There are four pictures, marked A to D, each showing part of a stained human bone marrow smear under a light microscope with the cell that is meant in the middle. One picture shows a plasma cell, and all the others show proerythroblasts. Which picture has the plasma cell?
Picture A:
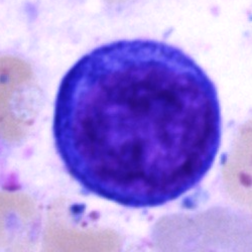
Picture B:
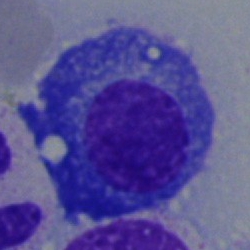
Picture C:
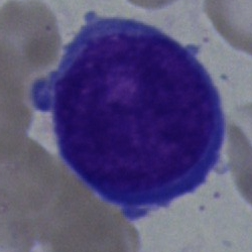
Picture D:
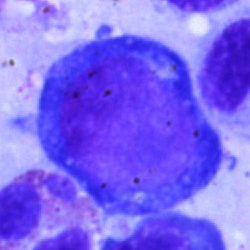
B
